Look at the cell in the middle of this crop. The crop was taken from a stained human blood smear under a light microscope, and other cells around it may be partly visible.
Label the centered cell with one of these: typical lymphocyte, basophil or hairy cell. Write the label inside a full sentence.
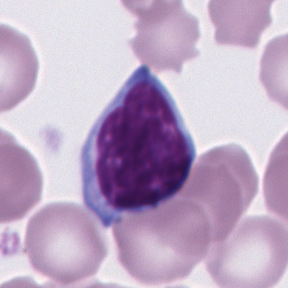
The crop shows a typical lymphocyte in its centre.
